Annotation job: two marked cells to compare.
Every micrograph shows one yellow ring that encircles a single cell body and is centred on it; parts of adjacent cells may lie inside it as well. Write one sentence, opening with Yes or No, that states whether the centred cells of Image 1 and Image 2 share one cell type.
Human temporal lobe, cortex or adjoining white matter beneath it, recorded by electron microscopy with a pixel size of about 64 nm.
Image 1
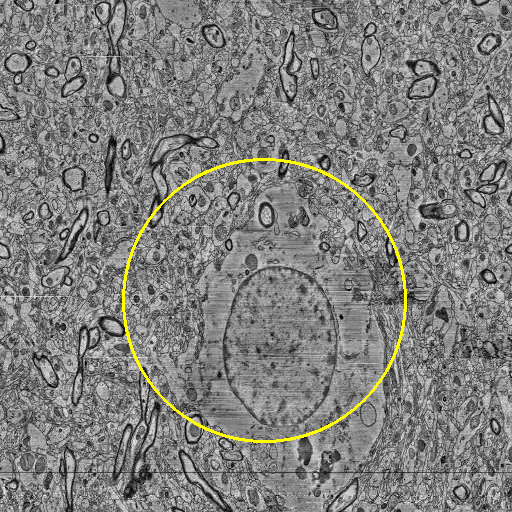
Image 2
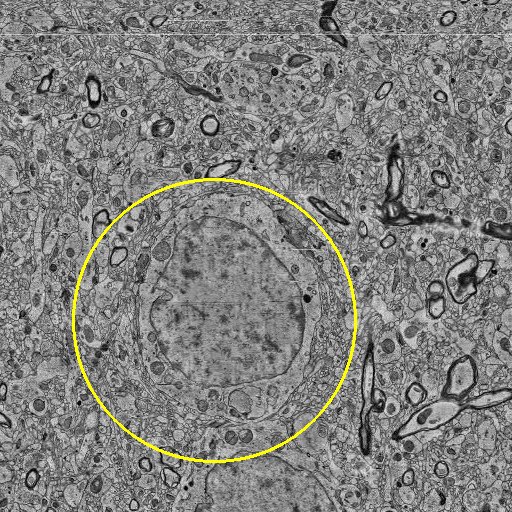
No, the cell centred in Image 1 and the cell centred in Image 2 are of two types.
